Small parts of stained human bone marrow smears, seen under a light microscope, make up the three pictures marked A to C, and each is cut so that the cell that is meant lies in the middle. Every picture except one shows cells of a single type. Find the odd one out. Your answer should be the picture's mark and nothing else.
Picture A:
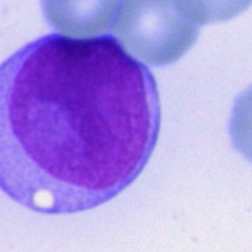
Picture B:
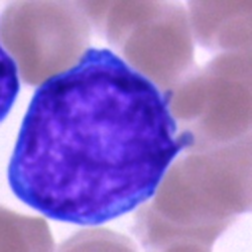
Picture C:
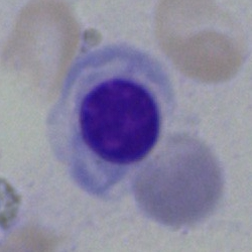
C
